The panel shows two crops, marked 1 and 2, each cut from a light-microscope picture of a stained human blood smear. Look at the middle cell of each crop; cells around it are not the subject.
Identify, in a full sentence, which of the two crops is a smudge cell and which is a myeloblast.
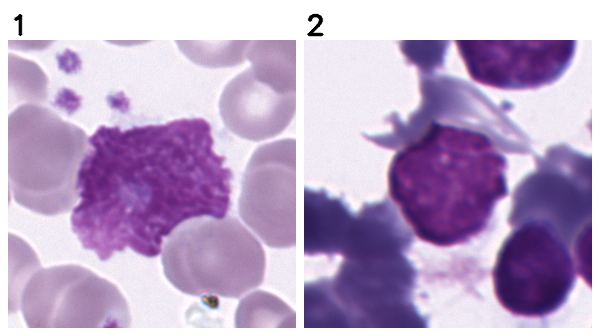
Classification: crop 1 is a smudge cell, crop 2 is a myeloblast.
